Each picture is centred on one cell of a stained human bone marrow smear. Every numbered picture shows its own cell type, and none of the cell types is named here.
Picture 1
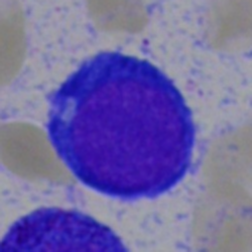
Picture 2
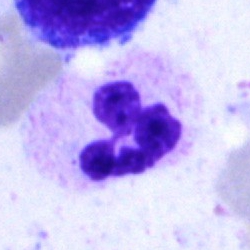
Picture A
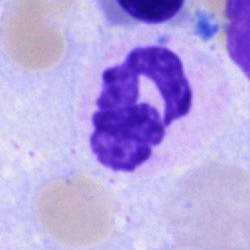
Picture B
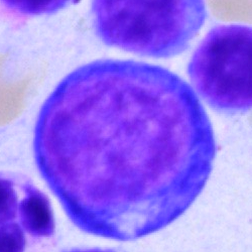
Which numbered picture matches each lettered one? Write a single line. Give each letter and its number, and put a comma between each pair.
A 2, B 1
